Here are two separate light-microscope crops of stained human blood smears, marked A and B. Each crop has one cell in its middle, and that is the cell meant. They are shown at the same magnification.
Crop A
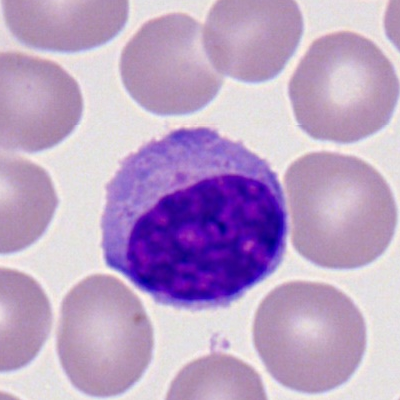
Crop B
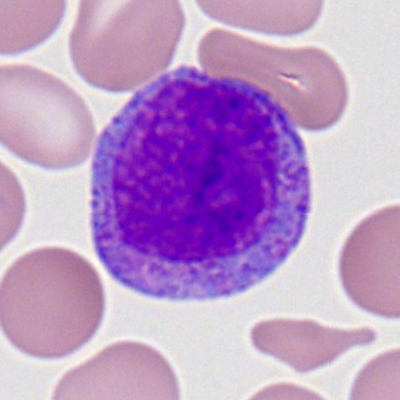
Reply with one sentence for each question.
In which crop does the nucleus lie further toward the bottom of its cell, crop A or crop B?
Seen within its cell, the nucleus in crop A lies further toward the bottom.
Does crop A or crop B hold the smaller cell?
It is the cell in crop A; the cell in crop B has about 1.5 times its area.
